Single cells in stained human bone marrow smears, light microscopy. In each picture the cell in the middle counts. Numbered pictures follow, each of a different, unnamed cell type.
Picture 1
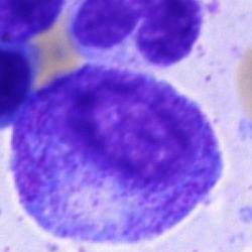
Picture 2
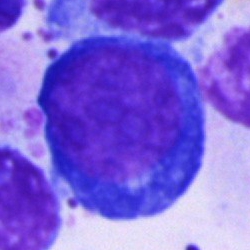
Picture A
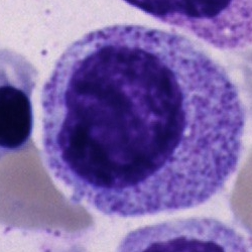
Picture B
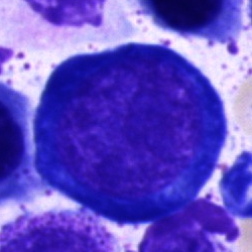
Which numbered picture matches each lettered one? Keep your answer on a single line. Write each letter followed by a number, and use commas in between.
A 1, B 2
